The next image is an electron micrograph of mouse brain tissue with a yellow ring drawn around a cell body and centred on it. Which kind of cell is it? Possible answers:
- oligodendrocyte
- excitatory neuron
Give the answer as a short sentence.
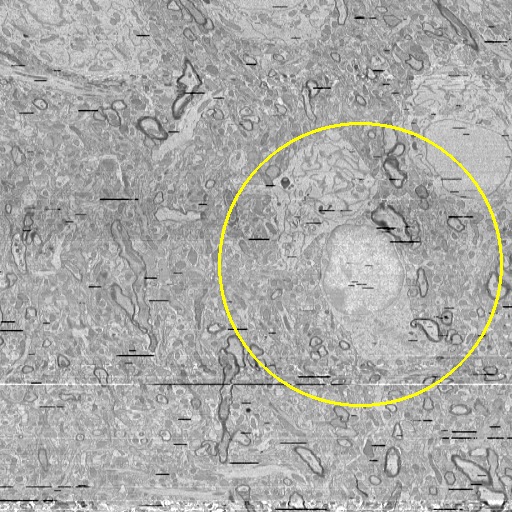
In the ring's centre is an oligodendrocyte.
